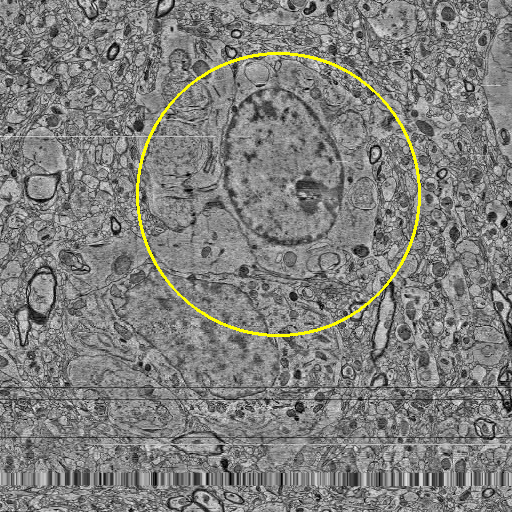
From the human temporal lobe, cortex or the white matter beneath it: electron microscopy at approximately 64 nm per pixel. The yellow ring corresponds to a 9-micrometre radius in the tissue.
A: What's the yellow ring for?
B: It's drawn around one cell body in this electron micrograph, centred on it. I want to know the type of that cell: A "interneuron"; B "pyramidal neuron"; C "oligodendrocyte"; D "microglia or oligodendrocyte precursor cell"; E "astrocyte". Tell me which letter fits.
E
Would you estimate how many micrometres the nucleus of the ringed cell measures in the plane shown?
The nucleus measures about 10 by 7 micrometres in this plane.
